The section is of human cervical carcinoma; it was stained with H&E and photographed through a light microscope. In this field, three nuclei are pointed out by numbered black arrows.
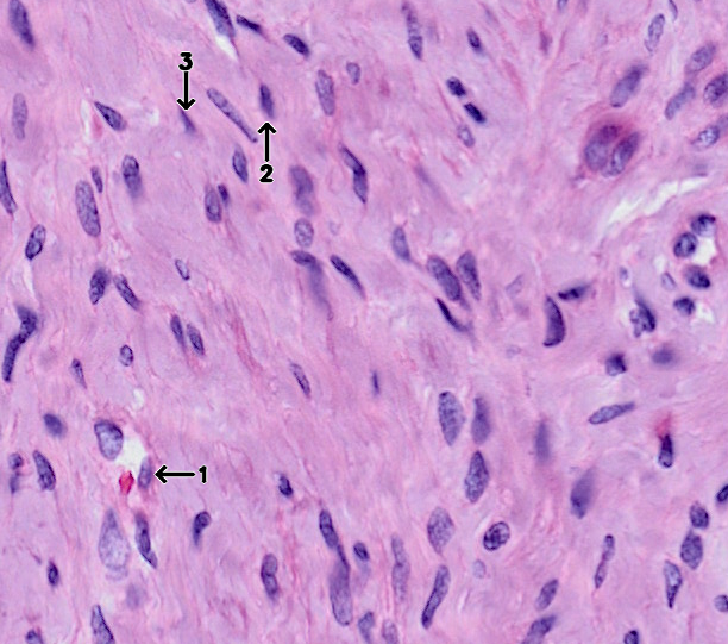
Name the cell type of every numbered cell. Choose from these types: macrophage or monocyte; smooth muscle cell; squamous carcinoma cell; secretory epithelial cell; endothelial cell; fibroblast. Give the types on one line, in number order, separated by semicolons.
endothelial cell; fibroblast; fibroblast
